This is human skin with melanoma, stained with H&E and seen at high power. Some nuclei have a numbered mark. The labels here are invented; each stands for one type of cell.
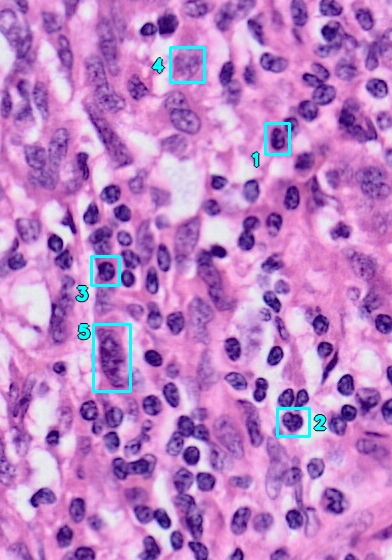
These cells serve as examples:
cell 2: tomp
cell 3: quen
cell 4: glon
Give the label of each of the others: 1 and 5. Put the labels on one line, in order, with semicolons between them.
quen; glon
